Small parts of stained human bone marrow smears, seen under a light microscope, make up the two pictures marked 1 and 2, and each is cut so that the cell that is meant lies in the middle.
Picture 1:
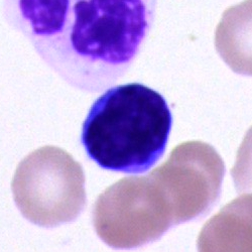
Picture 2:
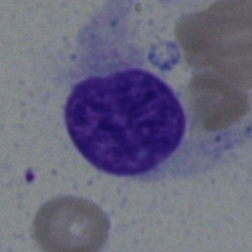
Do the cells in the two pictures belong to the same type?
yes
